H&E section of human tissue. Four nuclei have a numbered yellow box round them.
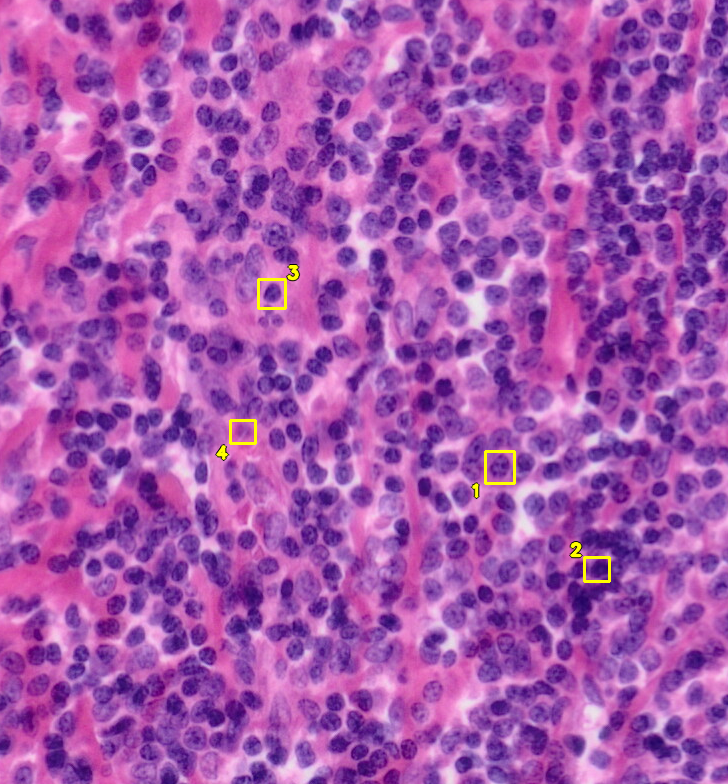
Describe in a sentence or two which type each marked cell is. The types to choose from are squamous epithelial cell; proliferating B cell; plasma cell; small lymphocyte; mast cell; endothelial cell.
Cell 1 is a plasma cell, cell 2 is a small lymphocyte, cell 3 is an endothelial cell and cell 4 is an endothelial cell.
